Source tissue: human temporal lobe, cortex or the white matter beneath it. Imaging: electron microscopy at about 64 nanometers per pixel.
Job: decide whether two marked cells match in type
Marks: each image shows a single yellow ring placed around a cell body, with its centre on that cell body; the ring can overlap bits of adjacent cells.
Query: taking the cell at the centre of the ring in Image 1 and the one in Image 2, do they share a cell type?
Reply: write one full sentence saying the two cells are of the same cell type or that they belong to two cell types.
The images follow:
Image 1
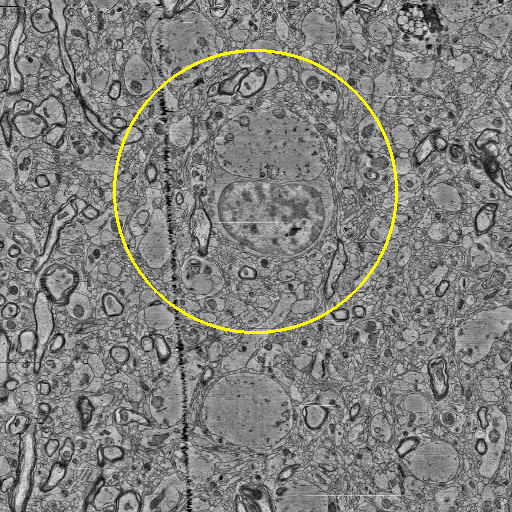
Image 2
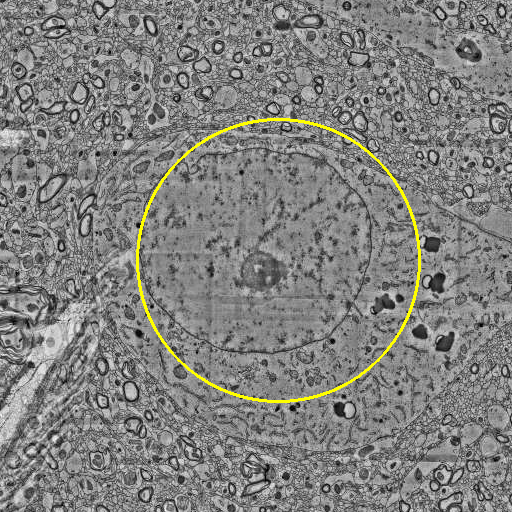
The cells at the ring centres in Image 1 and Image 2 belong to two cell types.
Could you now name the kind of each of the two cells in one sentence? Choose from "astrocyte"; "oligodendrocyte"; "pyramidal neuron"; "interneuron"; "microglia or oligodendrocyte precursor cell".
The first ring encloses an oligodendrocyte; the second ring encloses a pyramidal neuron.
